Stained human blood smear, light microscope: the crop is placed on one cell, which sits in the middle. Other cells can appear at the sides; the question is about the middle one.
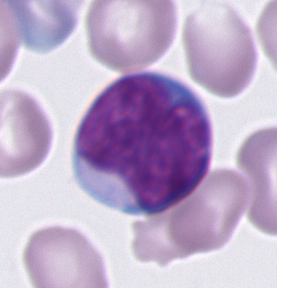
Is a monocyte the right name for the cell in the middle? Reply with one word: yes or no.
no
